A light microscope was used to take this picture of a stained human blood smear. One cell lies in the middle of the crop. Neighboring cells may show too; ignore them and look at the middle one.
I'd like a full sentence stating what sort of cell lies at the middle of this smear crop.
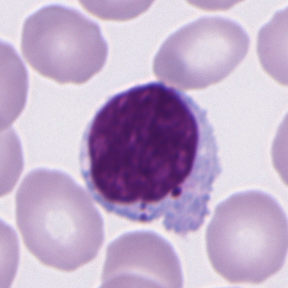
Of the cells in this crop, the central one is a typical lymphocyte.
